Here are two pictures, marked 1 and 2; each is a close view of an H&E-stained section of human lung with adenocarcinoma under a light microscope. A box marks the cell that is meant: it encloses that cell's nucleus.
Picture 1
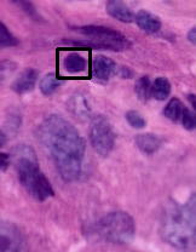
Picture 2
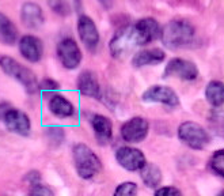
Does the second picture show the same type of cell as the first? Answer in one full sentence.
Yes, the two pictures both show lymphocytes.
